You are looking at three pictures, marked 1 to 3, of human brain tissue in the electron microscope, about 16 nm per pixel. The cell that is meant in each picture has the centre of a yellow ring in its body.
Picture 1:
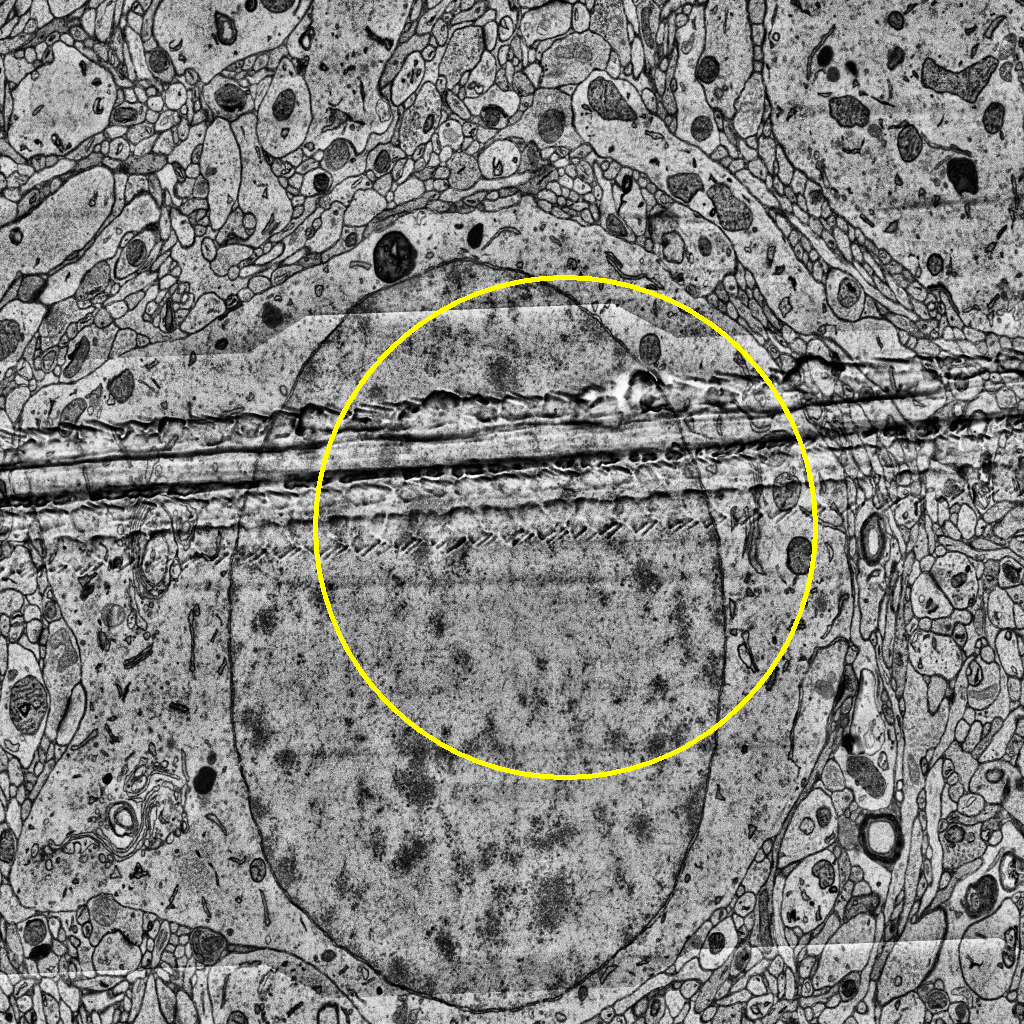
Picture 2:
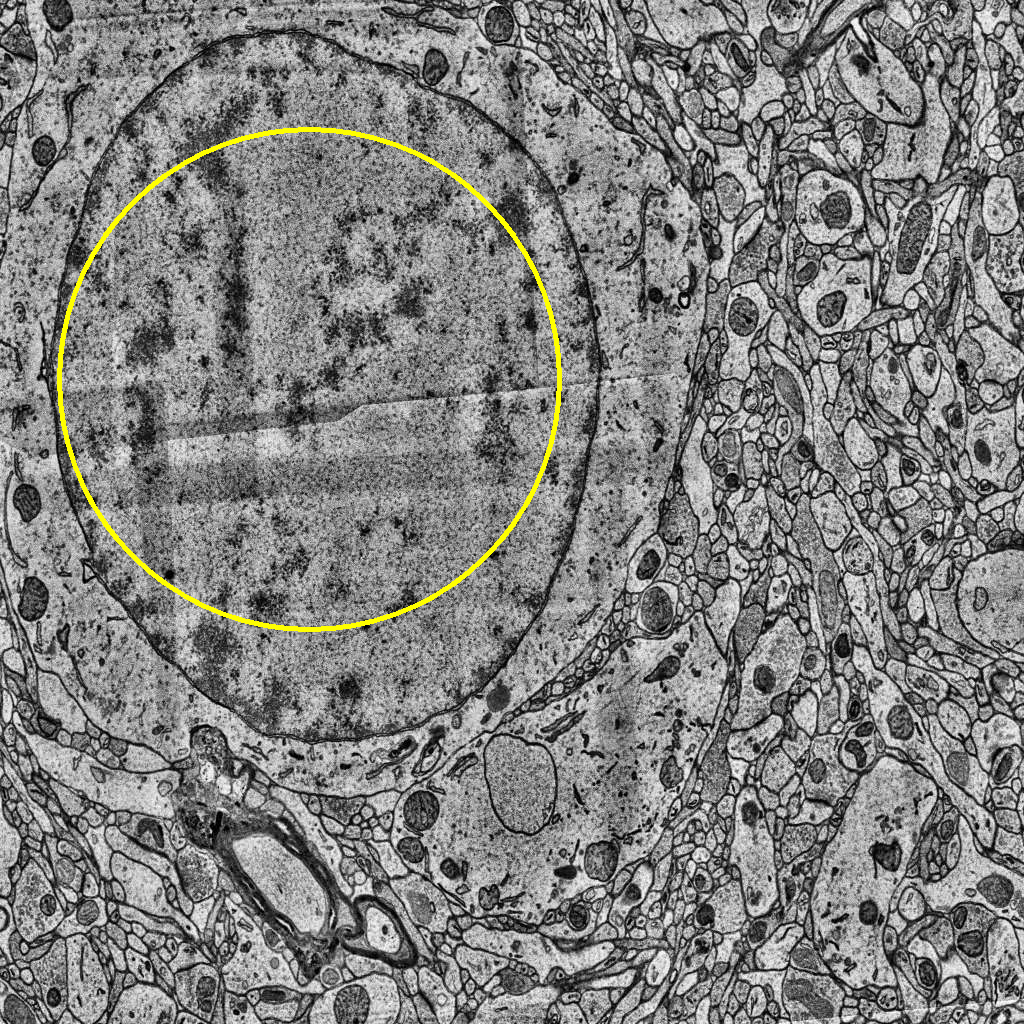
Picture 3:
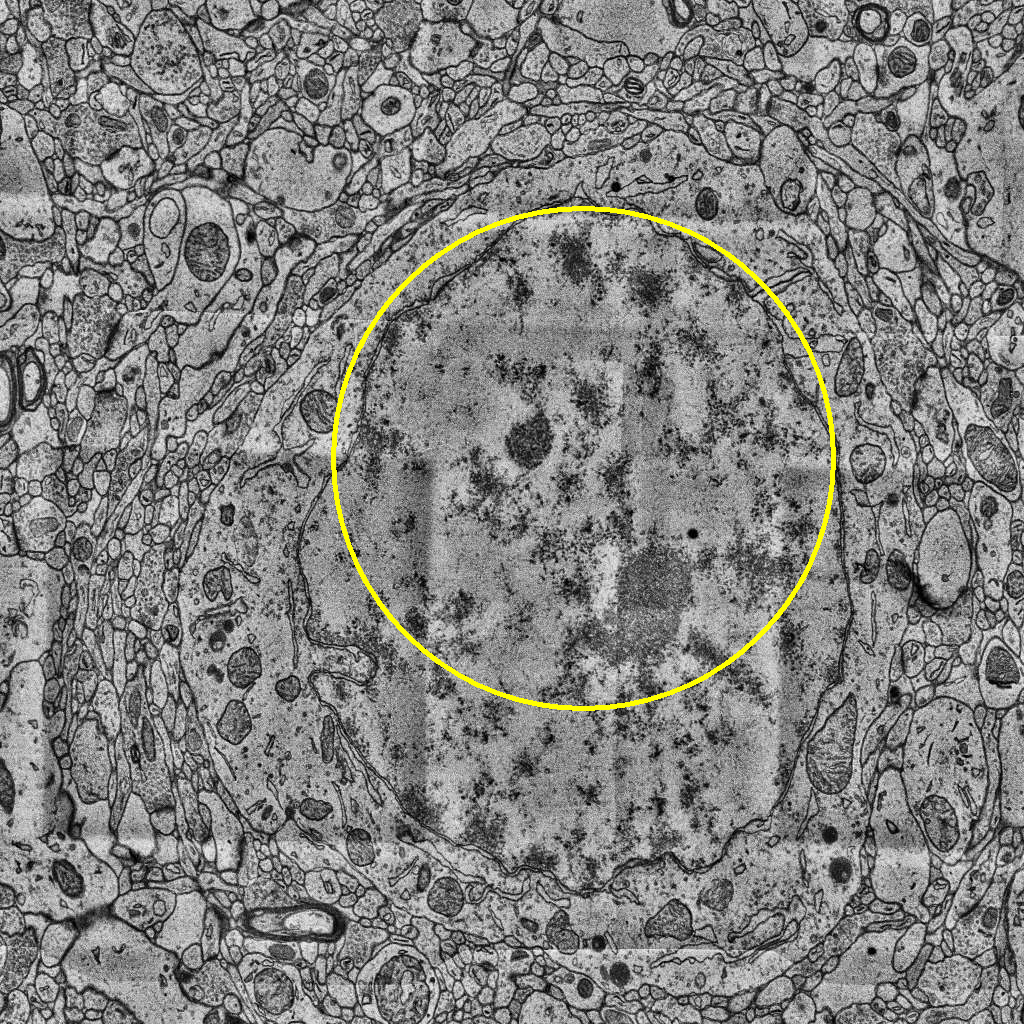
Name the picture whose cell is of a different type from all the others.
All pictures except 3 show pyramidal neurons; picture 3 shows an interneuron.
